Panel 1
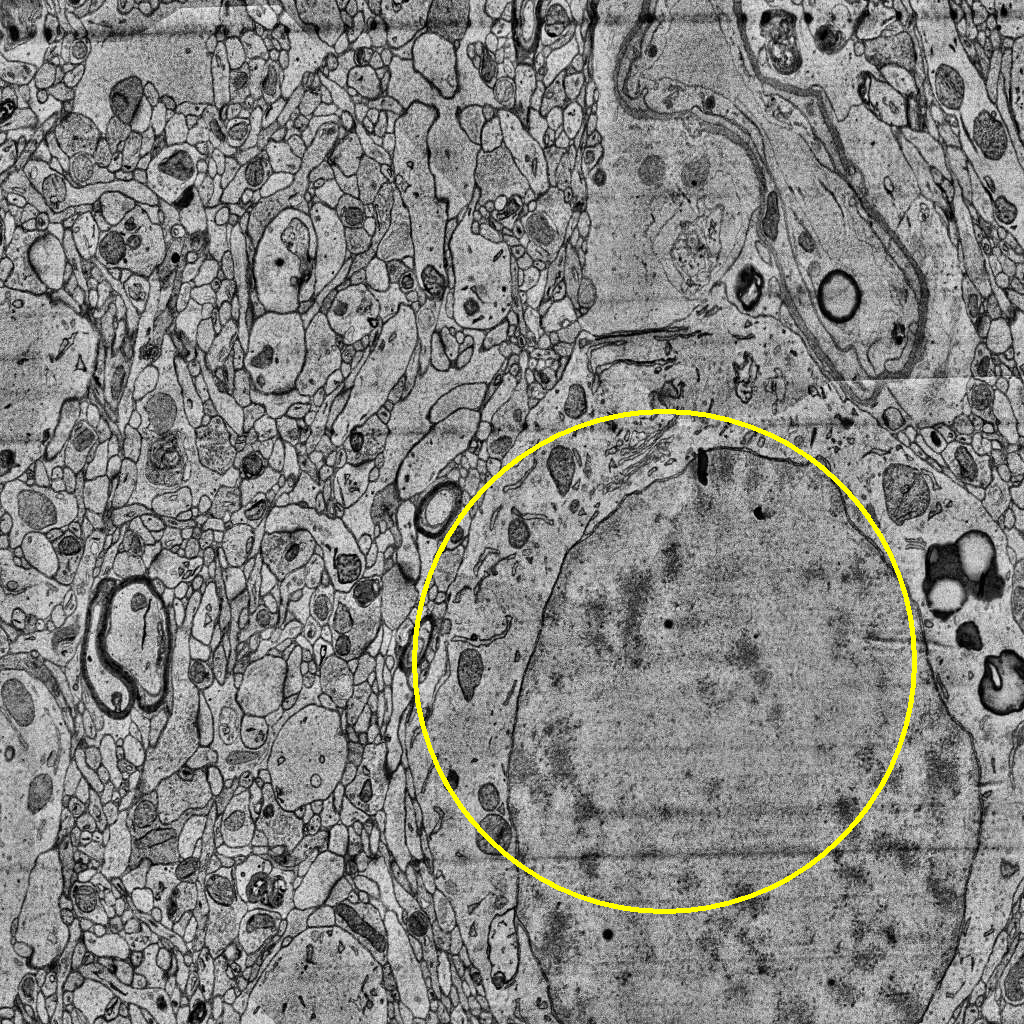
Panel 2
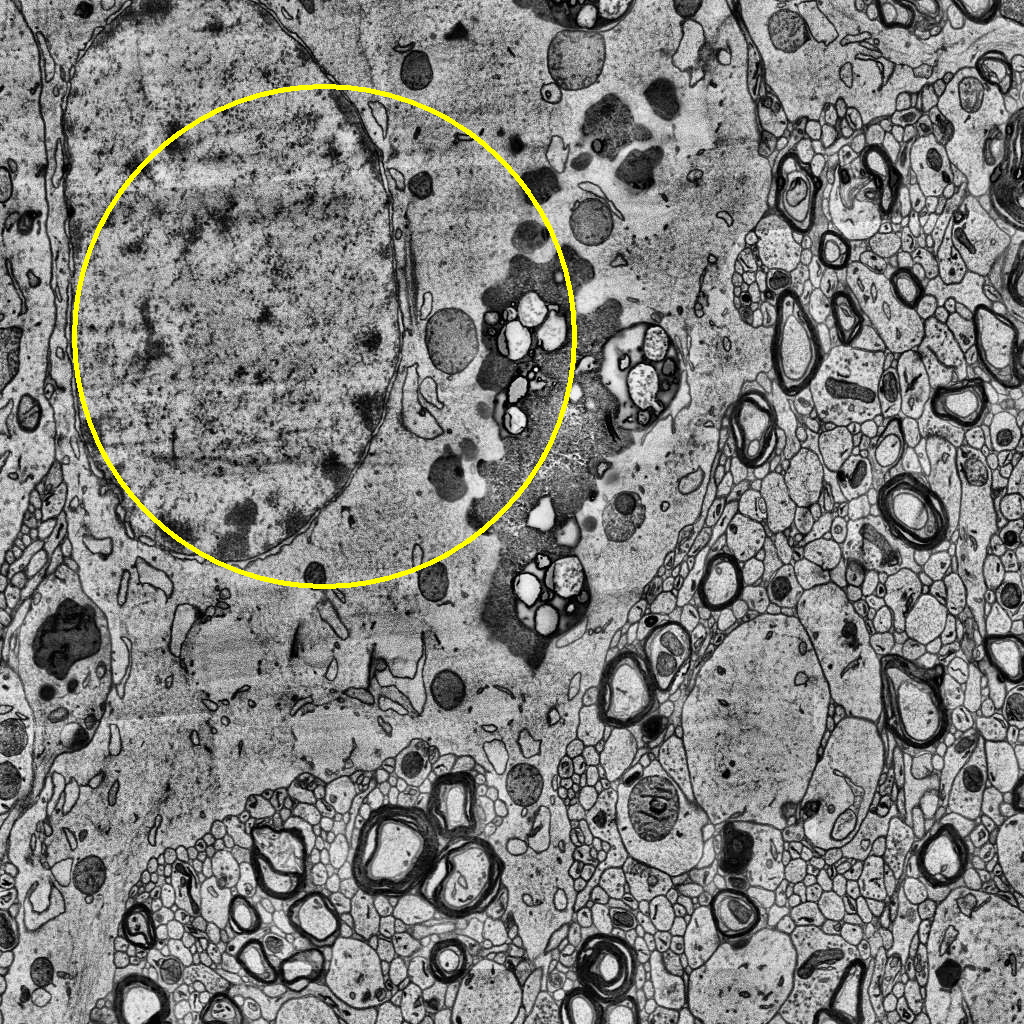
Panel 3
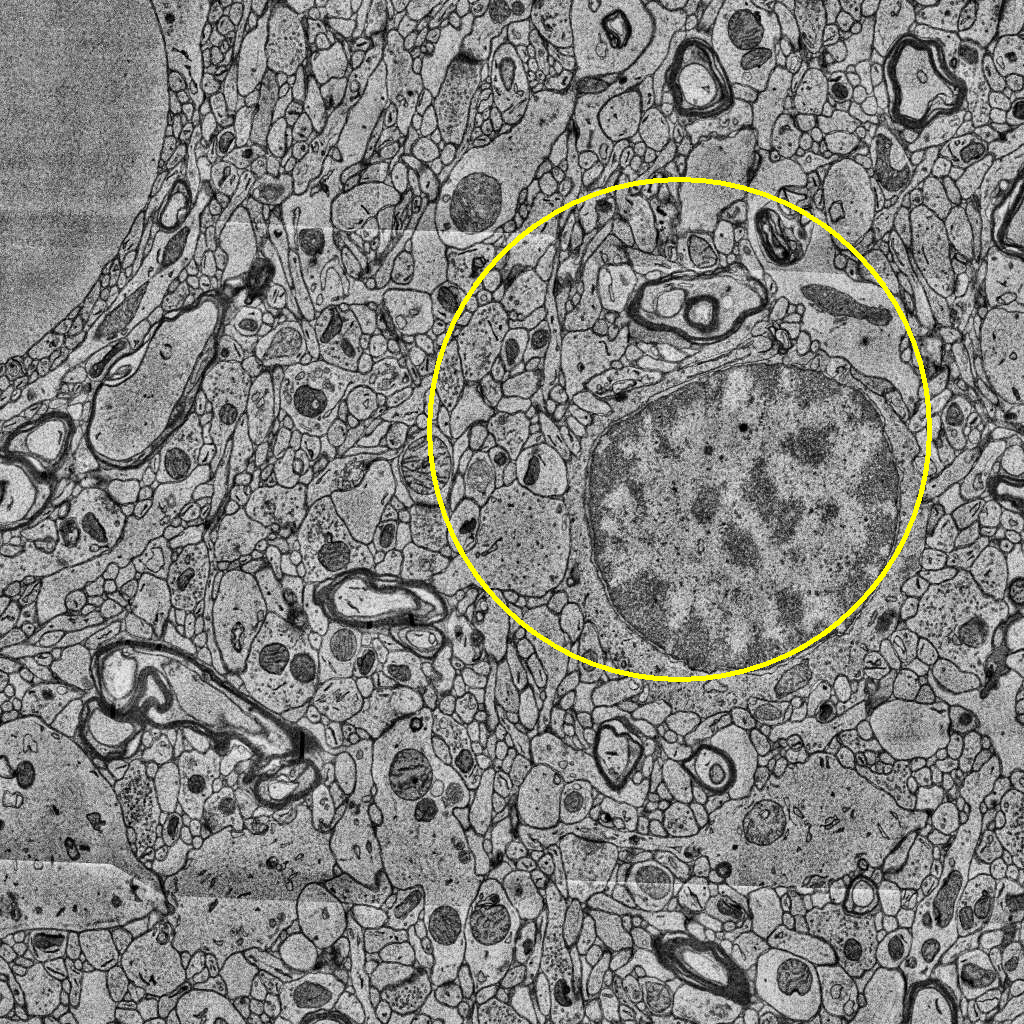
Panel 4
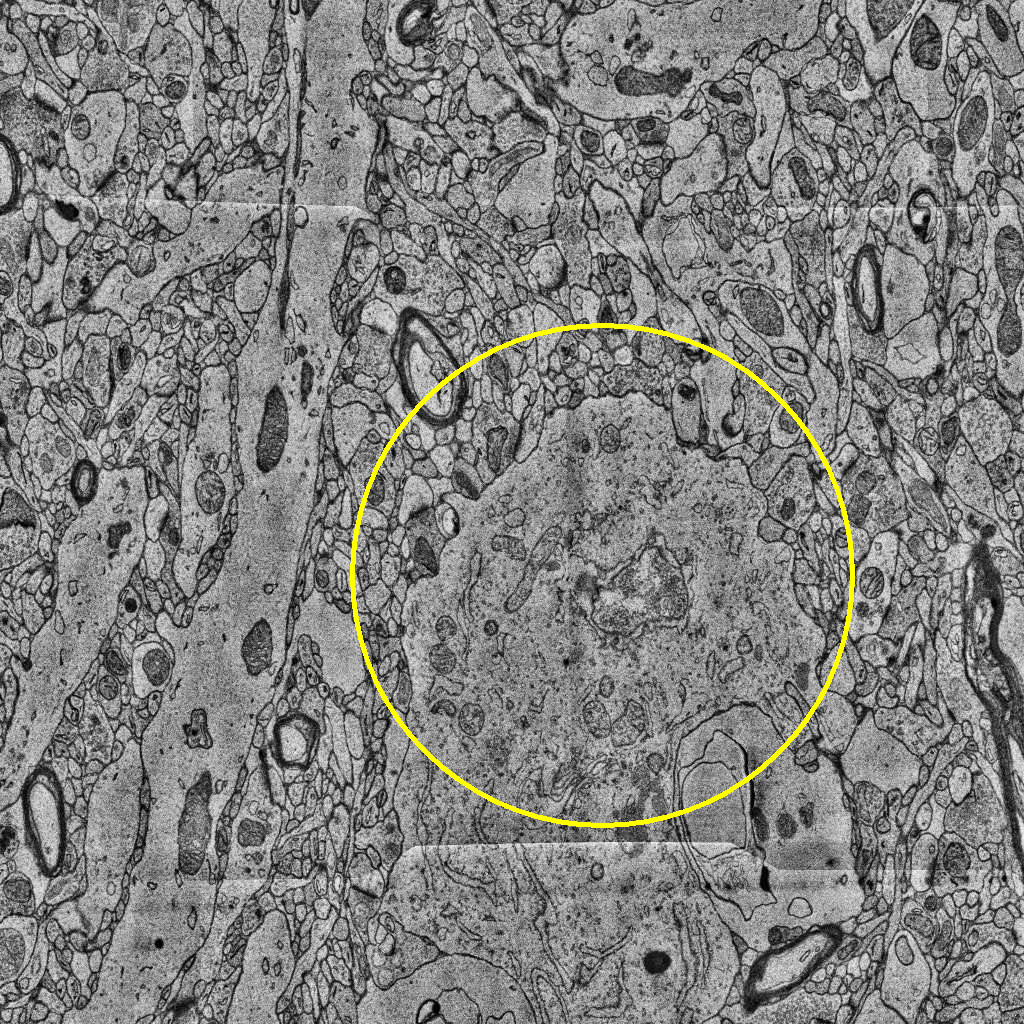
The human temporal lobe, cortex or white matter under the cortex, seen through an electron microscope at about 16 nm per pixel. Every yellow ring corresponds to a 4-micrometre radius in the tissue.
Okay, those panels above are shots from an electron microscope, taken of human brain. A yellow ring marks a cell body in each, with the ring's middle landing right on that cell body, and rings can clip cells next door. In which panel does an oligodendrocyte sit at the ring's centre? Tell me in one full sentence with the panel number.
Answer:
The cell you asked for has the ring's centre inside it in panel 3.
